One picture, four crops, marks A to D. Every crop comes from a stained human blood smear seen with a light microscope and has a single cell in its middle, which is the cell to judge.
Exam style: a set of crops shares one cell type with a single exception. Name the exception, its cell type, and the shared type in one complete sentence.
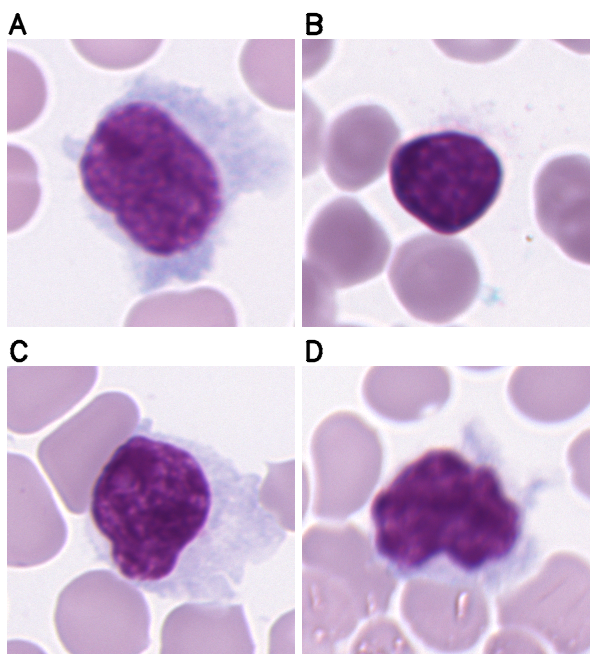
Of these crops, only crop B is a smudge cell; the others are hairy cells.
